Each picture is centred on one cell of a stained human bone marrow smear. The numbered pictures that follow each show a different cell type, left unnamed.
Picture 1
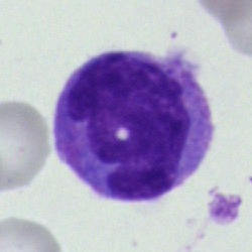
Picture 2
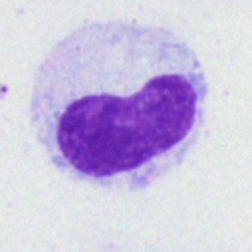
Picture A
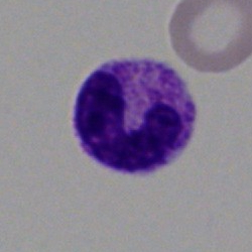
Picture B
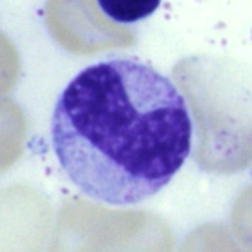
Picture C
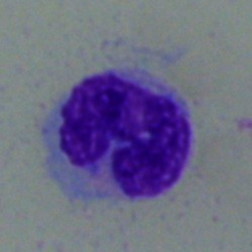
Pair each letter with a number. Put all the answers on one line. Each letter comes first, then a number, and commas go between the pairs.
A 2, B 2, C 1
